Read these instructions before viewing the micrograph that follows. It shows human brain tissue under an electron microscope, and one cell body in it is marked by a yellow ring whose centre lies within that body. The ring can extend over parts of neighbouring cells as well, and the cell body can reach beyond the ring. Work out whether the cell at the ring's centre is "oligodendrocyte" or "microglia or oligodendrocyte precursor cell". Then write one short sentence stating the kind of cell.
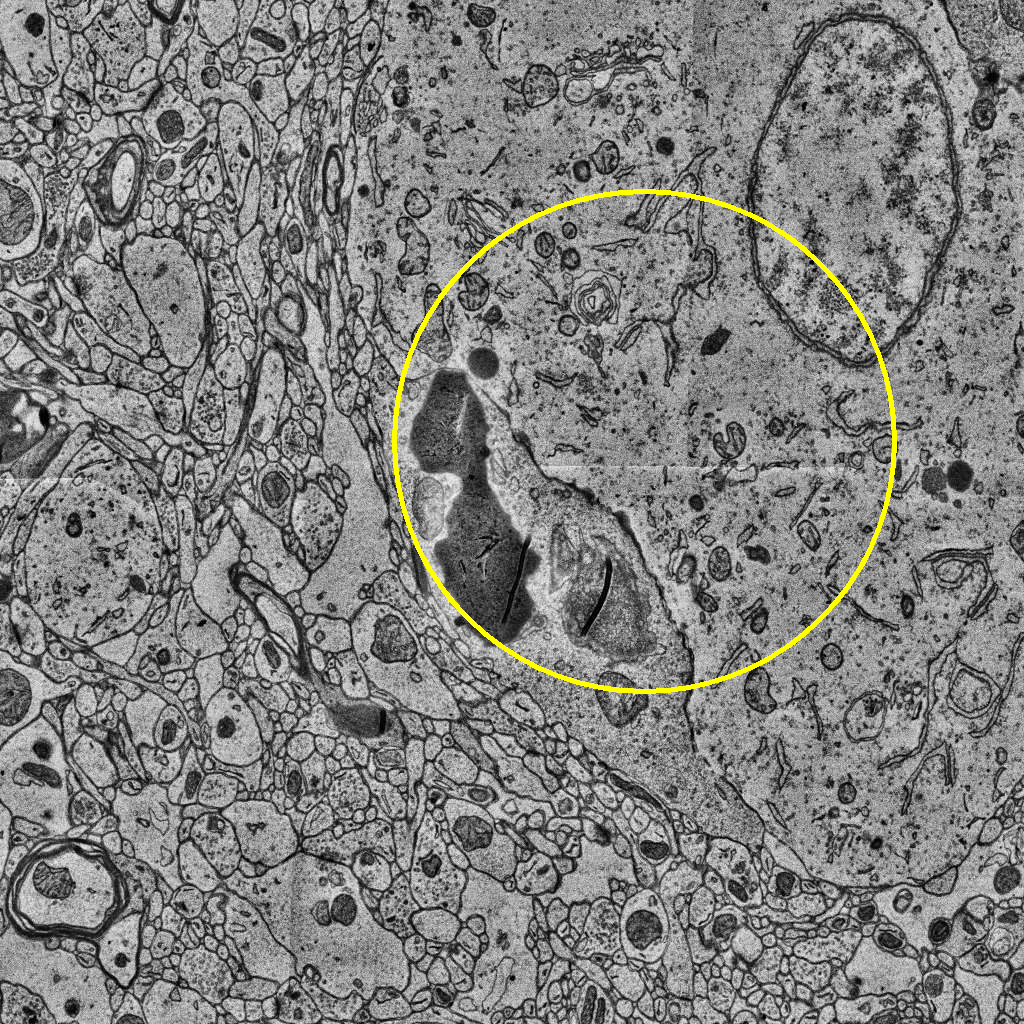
The cell at the ring's centre is an oligodendrocyte.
